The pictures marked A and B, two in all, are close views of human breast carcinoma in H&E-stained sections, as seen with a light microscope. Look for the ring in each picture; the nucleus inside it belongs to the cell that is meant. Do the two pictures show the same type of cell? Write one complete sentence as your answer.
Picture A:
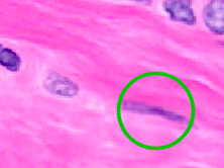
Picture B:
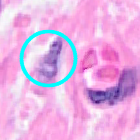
Yes, the two pictures both show fibroblasts.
